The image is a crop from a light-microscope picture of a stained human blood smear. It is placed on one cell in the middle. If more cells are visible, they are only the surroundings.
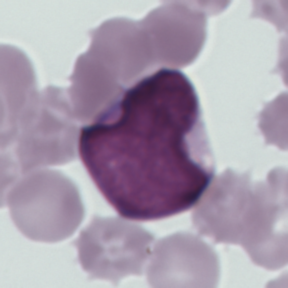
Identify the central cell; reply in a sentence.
In short, the cell at the center is a myeloblast.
